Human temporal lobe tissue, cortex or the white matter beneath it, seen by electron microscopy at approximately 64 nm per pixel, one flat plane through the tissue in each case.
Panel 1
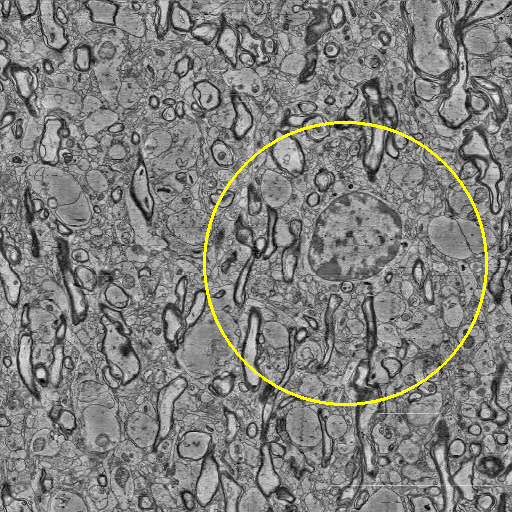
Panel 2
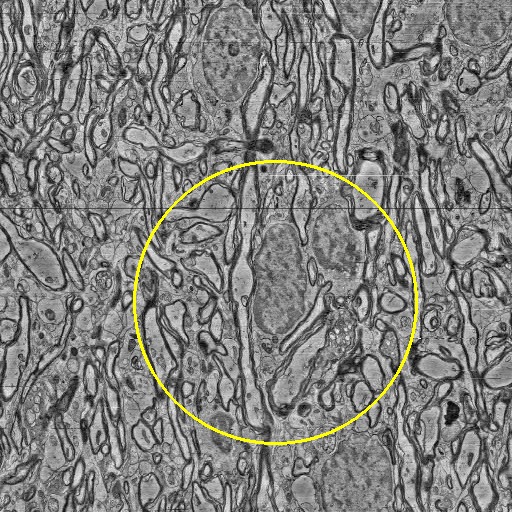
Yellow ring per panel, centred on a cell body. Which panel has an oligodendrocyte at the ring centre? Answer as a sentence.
Panel 2 shows it at the ring centre.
